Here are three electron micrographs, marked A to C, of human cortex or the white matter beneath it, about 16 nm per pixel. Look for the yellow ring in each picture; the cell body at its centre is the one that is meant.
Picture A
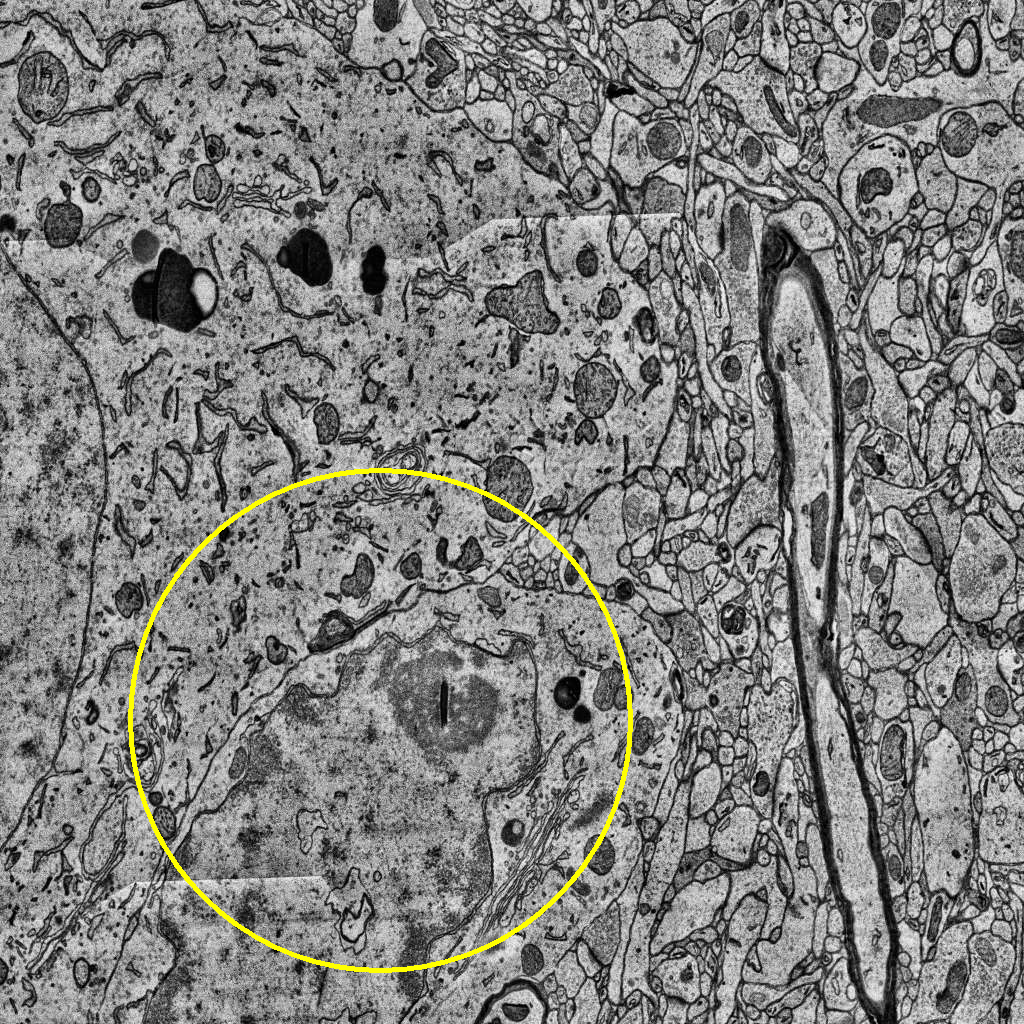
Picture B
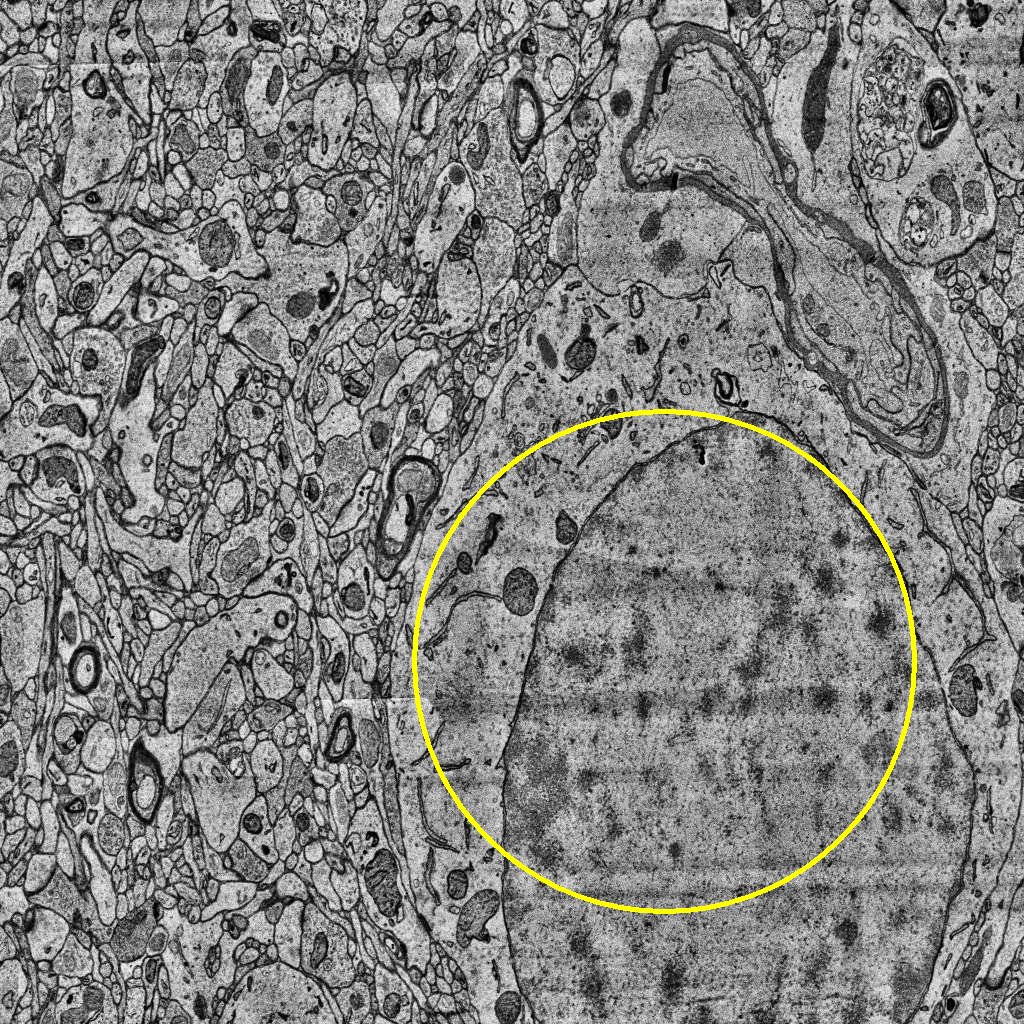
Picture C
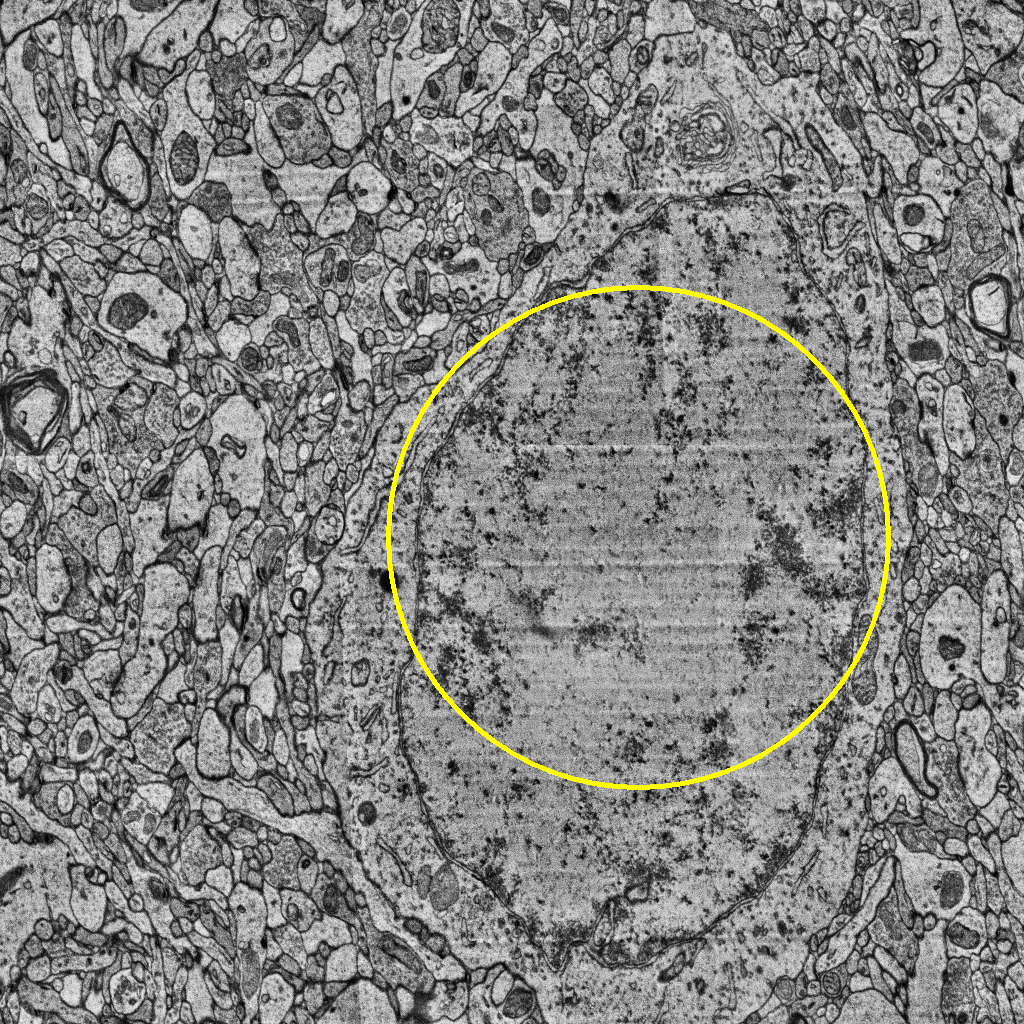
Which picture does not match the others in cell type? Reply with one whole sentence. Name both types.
Unlike the rest, which show interneurons, picture B shows a pyramidal neuron.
